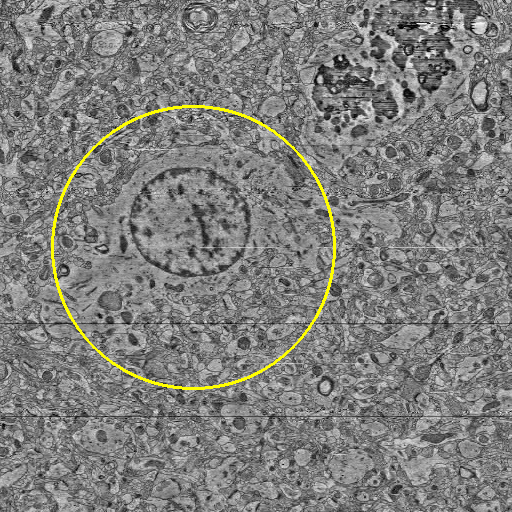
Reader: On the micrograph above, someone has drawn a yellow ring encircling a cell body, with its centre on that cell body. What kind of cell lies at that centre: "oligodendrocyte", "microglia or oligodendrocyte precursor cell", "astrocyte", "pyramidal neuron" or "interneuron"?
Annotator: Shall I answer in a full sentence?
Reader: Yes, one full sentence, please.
Here an astrocyte sits at the centre of the yellow ring drawn on the micrograph.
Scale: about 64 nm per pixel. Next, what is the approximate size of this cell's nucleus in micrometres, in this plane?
Roughly 7 micrometres across for the nucleus, in this plane.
